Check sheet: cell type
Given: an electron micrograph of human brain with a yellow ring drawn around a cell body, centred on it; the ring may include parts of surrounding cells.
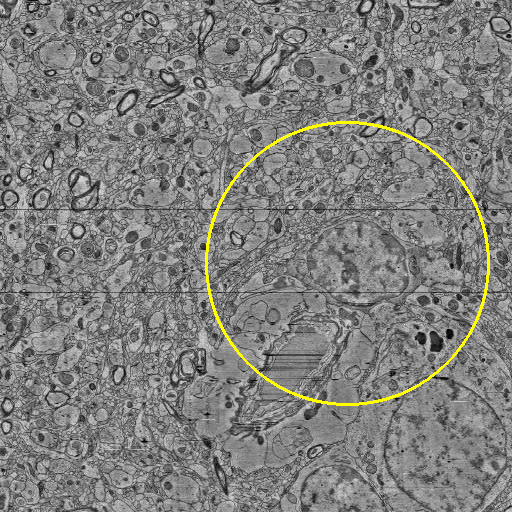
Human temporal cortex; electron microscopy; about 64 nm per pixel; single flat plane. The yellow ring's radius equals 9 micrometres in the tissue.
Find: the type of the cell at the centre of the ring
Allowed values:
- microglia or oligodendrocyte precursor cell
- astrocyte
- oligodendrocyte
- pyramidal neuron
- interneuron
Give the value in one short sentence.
Here the ringed cell is an oligodendrocyte.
